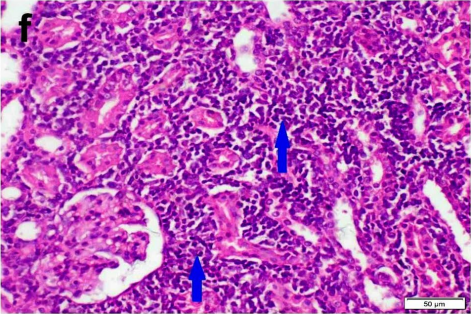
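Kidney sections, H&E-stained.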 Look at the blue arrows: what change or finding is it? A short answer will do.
Interstitial inflammatory cells aggregation.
